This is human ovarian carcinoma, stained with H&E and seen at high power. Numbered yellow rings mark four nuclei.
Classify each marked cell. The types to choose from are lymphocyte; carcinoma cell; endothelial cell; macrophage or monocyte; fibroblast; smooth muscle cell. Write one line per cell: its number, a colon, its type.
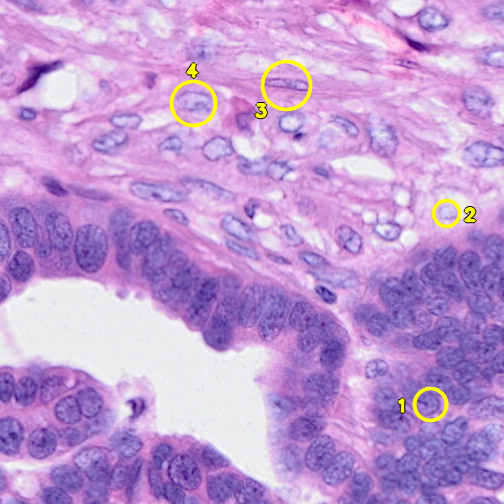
1: carcinoma cell
2: fibroblast
3: fibroblast
4: fibroblast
